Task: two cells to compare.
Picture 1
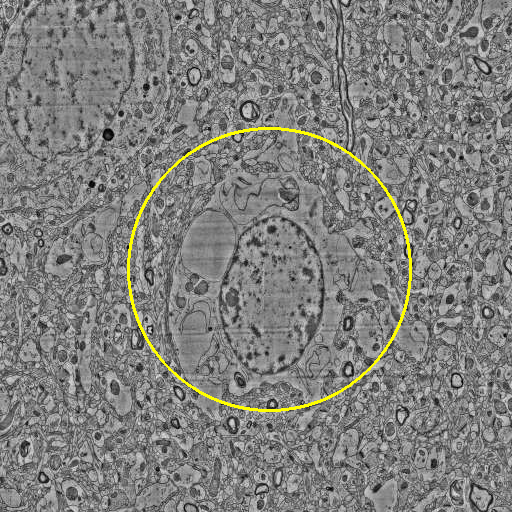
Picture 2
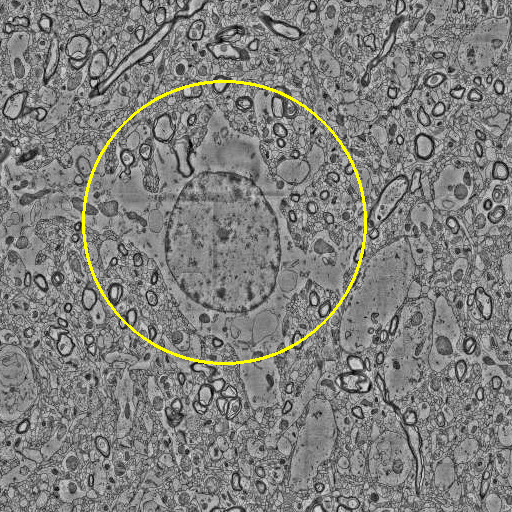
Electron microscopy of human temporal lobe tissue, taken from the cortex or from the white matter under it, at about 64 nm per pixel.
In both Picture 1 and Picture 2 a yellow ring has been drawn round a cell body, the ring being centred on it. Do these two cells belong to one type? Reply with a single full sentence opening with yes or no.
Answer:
Yes, the two cells at the ring centres in Picture 1 and Picture 2 share one type.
